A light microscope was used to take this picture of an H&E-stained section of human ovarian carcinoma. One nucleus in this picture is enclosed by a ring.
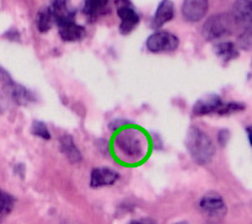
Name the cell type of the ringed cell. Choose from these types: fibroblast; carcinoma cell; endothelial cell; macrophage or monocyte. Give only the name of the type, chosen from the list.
macrophage or monocyte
